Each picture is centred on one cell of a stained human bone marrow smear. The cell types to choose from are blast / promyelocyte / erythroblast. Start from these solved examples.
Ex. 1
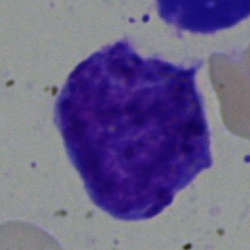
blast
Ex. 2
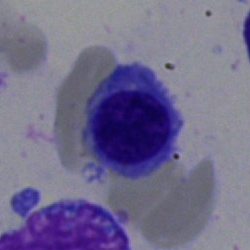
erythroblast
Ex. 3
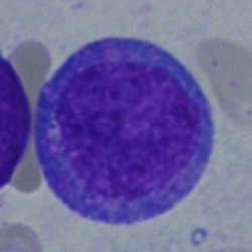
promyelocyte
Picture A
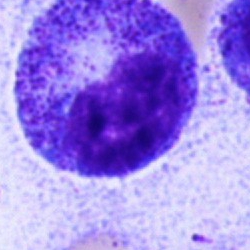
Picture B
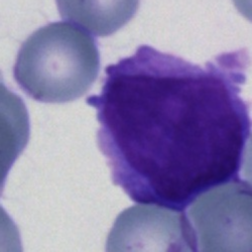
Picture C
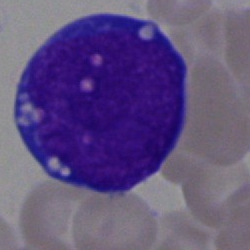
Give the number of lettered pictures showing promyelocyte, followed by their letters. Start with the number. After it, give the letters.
Count: 1 (A)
